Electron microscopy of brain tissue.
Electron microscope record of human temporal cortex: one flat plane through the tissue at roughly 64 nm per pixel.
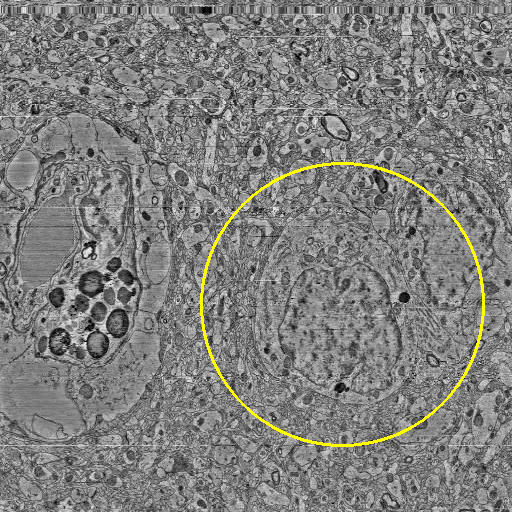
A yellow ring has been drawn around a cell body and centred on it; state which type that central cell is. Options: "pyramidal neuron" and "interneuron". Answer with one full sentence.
The cell at the middle of the yellow ring is an interneuron in this picture.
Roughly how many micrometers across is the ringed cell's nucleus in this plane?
About 9 by 8 micrometers, in this plane.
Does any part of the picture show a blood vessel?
Yes, there is a blood vessel.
